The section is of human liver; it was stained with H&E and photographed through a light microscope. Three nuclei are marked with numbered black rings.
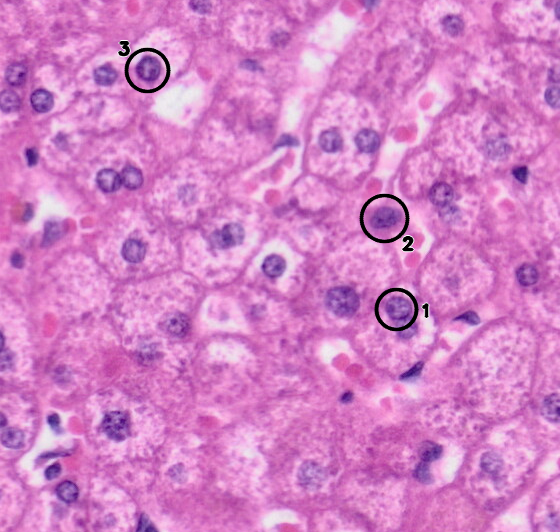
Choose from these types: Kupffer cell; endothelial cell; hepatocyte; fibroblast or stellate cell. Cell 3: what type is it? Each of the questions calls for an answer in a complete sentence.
The expected answer is that cell 3 is a hepatocyte.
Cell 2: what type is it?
As for number 2, that cell is a Kupffer cell.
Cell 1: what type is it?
Within this field of view, the cell labelled 1 is a hepatocyte.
